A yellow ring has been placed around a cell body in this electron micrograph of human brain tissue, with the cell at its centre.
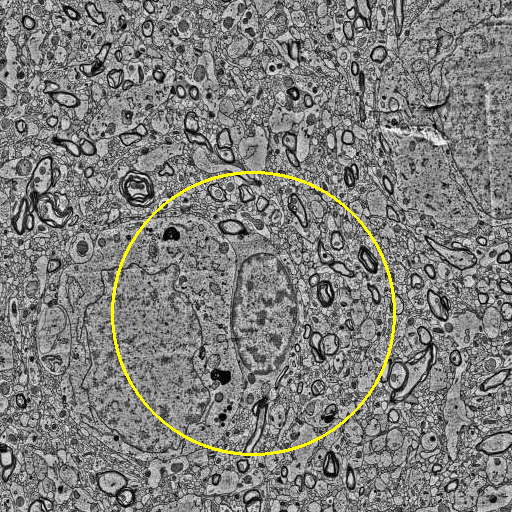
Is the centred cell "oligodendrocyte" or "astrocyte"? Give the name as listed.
oligodendrocyte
